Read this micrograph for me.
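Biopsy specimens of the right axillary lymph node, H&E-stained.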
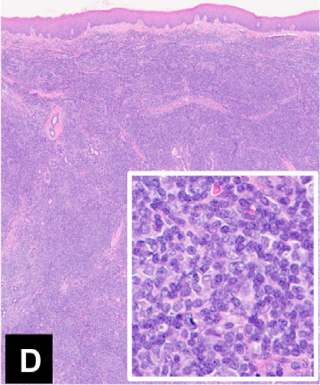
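This section shows a proliferation of atypical lymphocytes in a dense, purple-staining infiltrate that fills the tissue below a thin surface layer. At low power the infiltrate is crowded and fairly uniform, with only faint nodular variation in density and a few small vessels running through it. In the inset the cells are medium-sized to large and round, with round nuclei and scant cytoplasm. They are packed closely and show little intervening stroma.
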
